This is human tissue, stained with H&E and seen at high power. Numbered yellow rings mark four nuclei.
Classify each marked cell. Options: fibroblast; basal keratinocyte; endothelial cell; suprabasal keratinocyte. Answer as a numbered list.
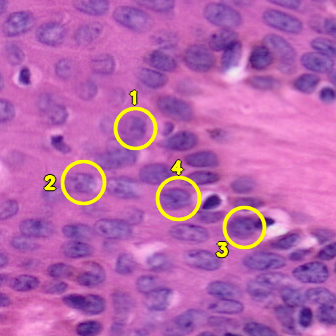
1. basal keratinocyte
2. suprabasal keratinocyte
3. basal keratinocyte
4. basal keratinocyte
